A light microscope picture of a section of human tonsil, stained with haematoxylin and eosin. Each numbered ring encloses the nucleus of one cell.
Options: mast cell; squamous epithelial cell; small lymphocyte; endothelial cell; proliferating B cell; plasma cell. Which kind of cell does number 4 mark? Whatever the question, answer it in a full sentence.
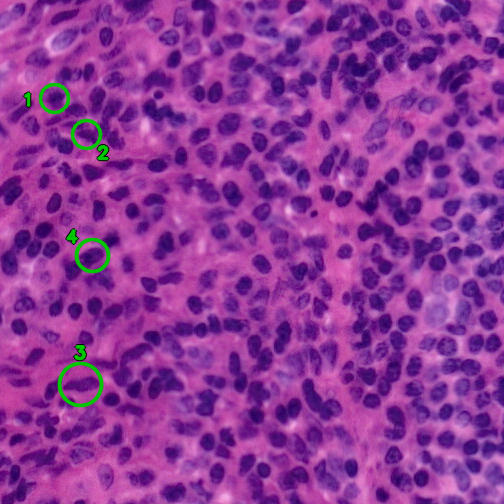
Cell 4 of the marked set is a plasma cell.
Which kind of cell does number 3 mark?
Regarding cell 3, this one is a squamous epithelial cell.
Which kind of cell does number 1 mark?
The label 1 in this section denotes a squamous epithelial cell.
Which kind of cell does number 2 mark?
The cell tagged with 2 in this tissue section is a squamous epithelial cell.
